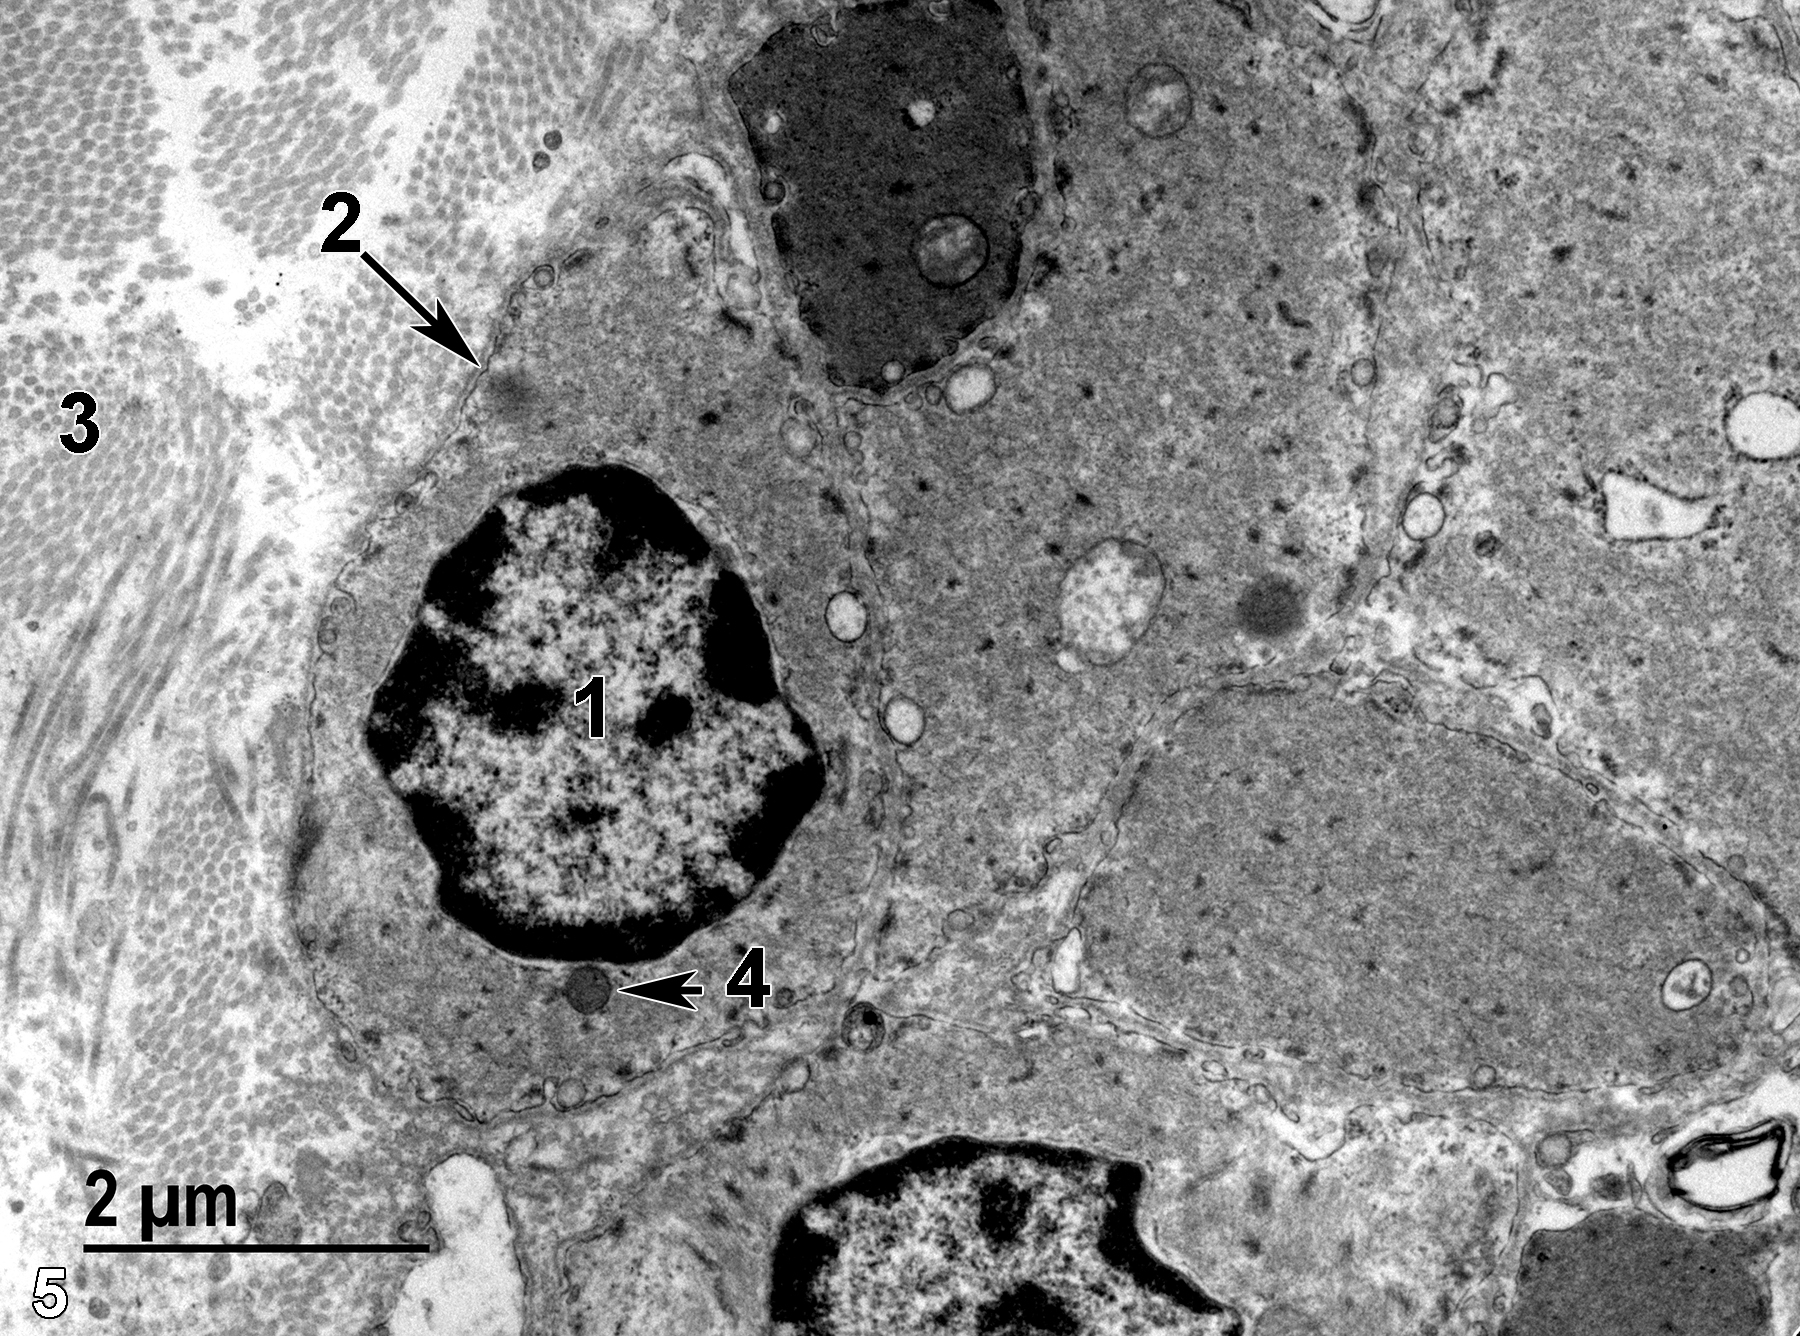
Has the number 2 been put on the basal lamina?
Yes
